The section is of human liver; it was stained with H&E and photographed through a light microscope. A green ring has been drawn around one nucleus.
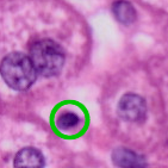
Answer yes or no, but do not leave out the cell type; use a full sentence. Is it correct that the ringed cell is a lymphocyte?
Yes, it is a lymphocyte that the ringed cell is.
